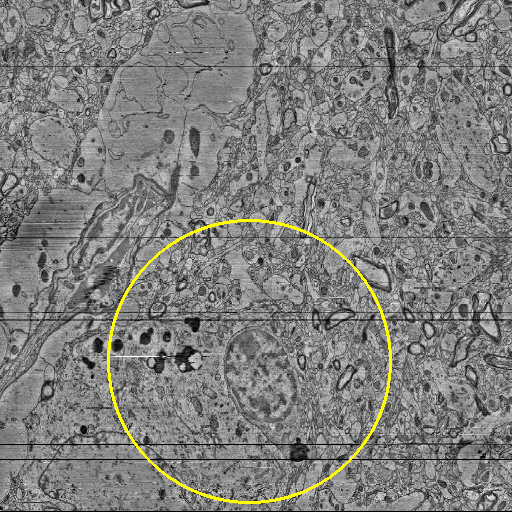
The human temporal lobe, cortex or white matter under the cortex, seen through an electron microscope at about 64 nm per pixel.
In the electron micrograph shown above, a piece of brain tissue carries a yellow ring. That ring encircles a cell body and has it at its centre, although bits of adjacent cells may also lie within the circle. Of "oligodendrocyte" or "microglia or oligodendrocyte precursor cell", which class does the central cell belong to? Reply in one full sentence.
The cell body at the centre of the yellow ring belongs to an oligodendrocyte.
